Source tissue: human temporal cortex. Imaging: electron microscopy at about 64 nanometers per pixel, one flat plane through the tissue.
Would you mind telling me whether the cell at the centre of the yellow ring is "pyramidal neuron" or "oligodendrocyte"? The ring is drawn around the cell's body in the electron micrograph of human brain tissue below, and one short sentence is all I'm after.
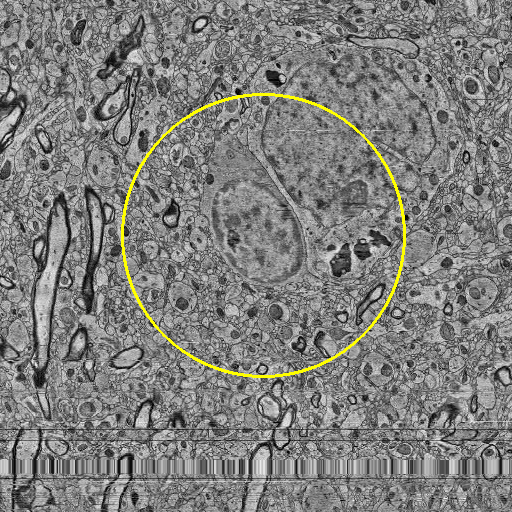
In the centre of the ring lies an oligodendrocyte.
